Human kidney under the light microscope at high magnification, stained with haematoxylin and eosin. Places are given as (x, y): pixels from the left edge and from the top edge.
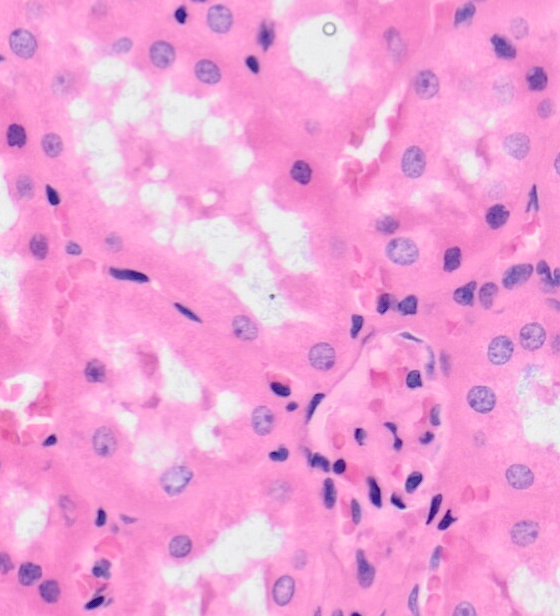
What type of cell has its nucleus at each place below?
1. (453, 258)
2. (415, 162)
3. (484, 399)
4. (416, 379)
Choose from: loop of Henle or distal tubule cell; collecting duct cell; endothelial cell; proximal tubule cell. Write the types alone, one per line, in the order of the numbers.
proximal tubule cell
proximal tubule cell
proximal tubule cell
endothelial cell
